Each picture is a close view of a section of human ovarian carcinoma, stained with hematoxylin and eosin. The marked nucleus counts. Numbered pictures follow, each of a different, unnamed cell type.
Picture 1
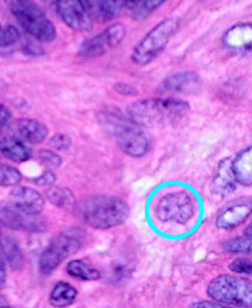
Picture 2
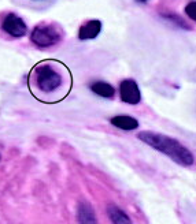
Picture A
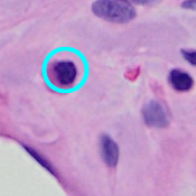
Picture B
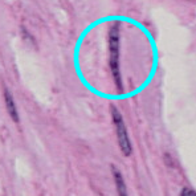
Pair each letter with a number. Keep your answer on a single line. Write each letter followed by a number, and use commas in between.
A 2, B 1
